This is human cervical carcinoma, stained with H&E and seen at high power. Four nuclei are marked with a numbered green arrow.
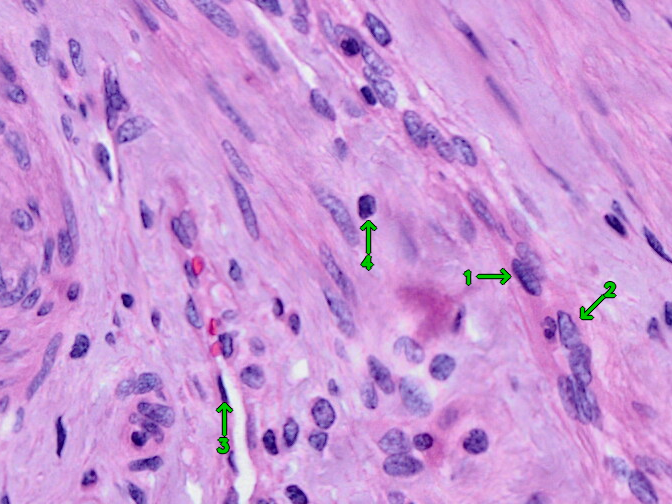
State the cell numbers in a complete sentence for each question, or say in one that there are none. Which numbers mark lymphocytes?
Cell 4 is a lymphocyte, and it is the only numbered cell that is.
